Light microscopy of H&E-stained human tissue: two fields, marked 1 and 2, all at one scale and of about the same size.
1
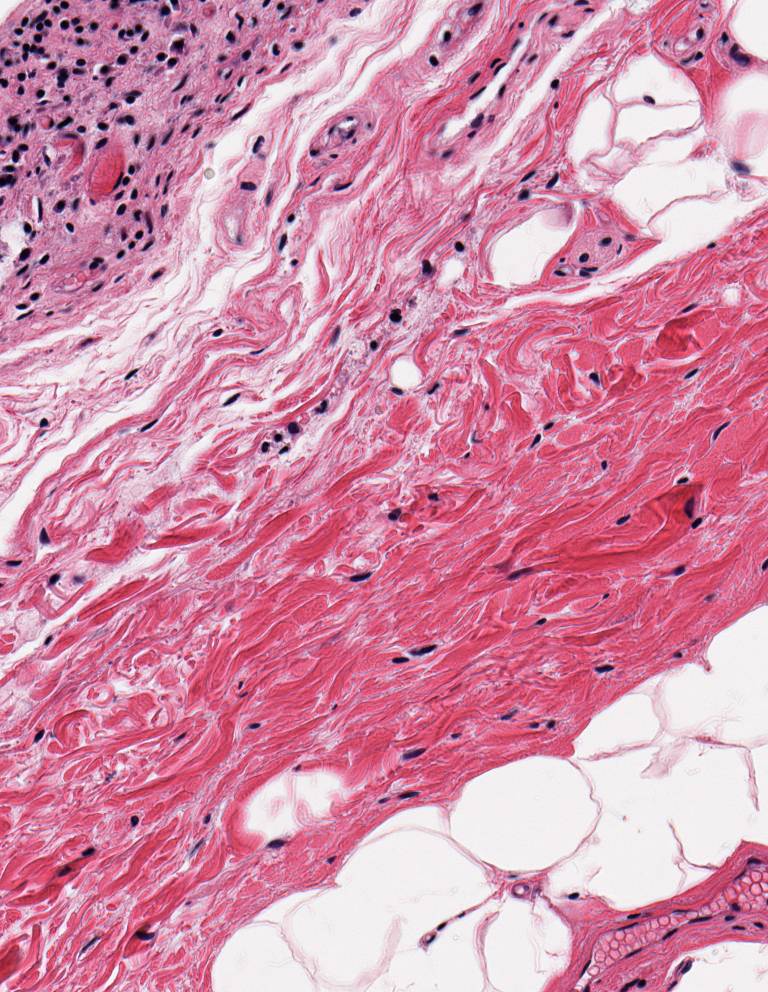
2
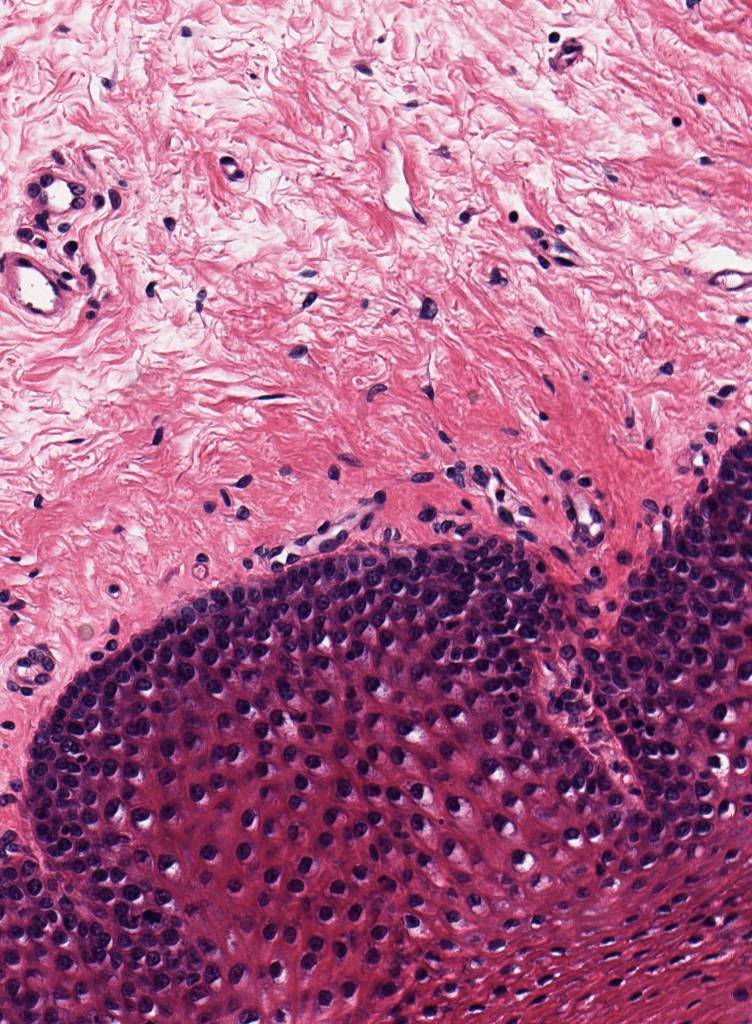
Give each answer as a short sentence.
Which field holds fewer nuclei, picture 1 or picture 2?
It is picture 1 that has fewer nuclei in it.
